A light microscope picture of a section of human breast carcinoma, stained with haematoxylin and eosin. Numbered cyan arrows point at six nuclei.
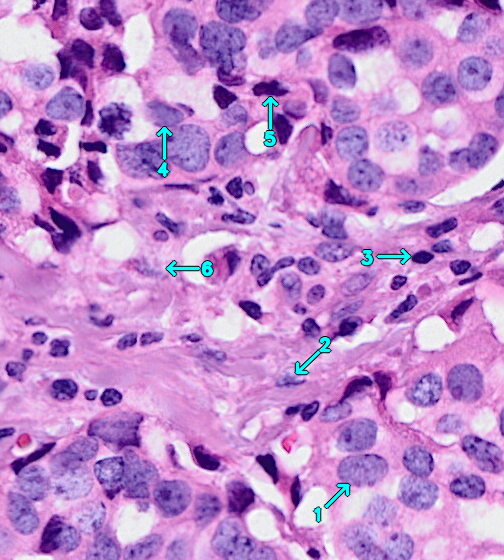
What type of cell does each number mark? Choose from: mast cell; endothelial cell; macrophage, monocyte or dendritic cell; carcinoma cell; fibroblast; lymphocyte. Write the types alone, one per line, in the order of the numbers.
carcinoma cell
fibroblast
lymphocyte
carcinoma cell
carcinoma cell
fibroblast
